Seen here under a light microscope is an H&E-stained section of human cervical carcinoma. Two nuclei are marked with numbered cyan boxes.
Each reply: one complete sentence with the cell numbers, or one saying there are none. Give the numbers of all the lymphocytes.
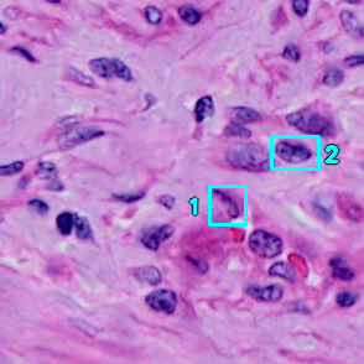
Among the cells marked with numbers, the only one that is a lymphocyte is number 2.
